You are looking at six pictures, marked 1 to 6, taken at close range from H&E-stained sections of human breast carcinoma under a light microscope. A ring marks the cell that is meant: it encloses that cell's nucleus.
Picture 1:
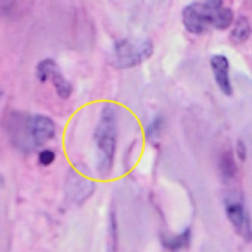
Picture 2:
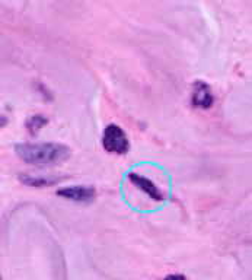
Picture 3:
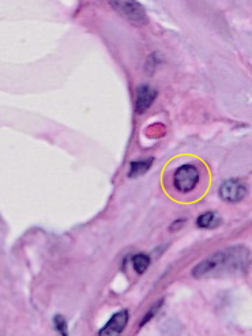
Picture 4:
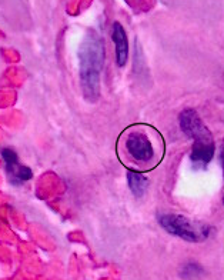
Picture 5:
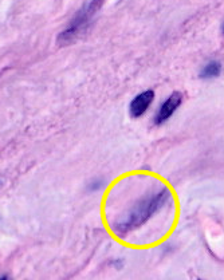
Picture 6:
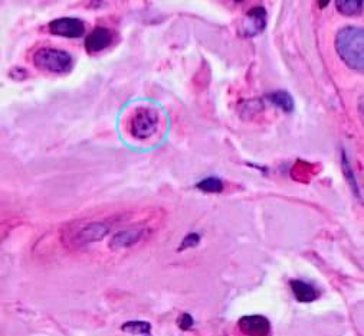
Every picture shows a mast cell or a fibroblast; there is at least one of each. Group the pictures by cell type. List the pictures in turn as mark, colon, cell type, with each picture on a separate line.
1: fibroblast
2: fibroblast
3: mast cell
4: mast cell
5: fibroblast
6: mast cell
